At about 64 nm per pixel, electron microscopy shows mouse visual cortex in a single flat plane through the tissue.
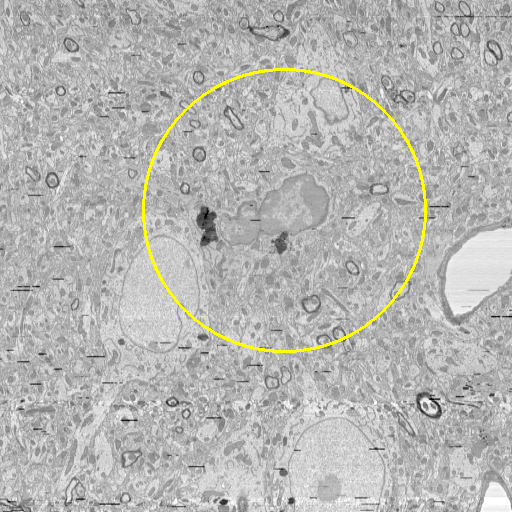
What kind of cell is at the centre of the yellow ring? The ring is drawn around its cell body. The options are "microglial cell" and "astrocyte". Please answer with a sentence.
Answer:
The yellow ring marks the cell body of a microglial cell.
